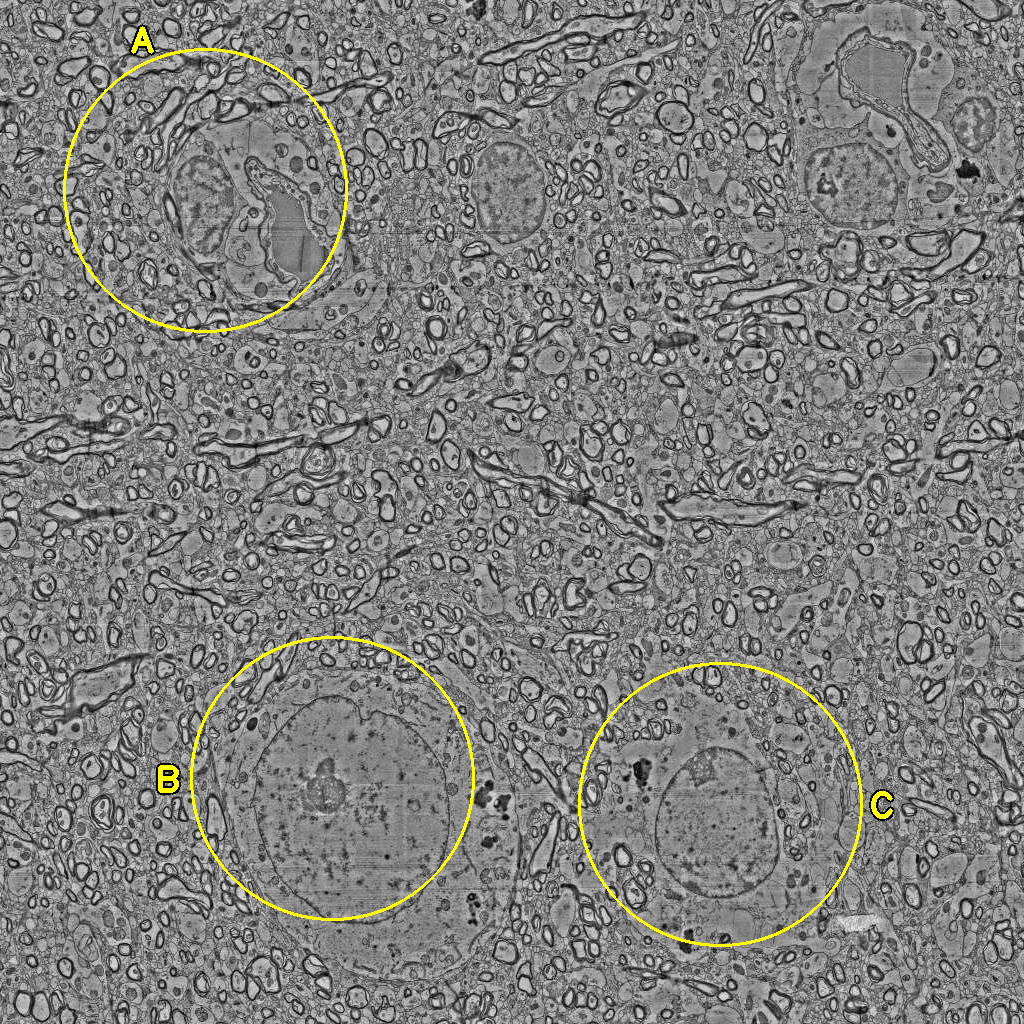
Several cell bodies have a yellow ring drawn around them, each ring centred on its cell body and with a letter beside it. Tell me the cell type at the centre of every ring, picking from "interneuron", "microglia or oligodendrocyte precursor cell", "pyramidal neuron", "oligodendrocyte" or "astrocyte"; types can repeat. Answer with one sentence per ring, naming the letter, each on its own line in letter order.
In ring A, the central cell is an oligodendrocyte.
In ring B, the central cell is a pyramidal neuron.
In ring C, the central cell is an astrocyte.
